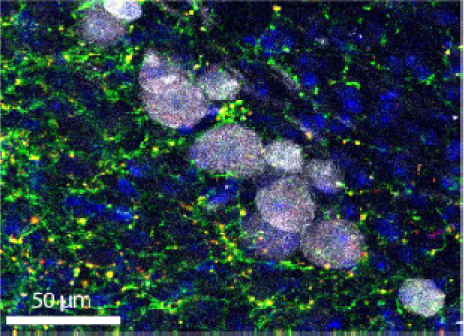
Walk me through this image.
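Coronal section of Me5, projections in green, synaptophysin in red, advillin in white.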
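A cluster of large, round neuronal cell bodies lies embedded in a meshwork of fine fibres. The cell bodies fill with a pale white label and are much larger than the small blue nuclei scattered in the surrounding tissue, which belong to smaller cells. Thin green fibres wind between and around the large cells, forming a dense net, and many of them carry small red or yellow dots along their length, giving a beaded look. Some of these dots lie close against the surfaces of the large cell bodies.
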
